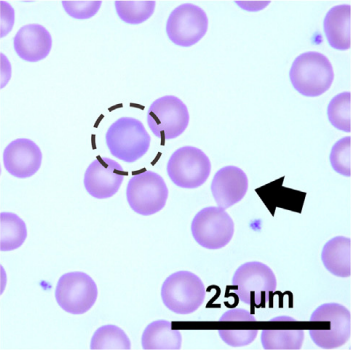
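The red cells are pink, round, anucleate discs of even size, many with a paler centre. One larger round cell stains bluish-purple and has no nucleus. One red cell is slightly elongated. Small purple fragments lie between the cells on a pale blue background.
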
